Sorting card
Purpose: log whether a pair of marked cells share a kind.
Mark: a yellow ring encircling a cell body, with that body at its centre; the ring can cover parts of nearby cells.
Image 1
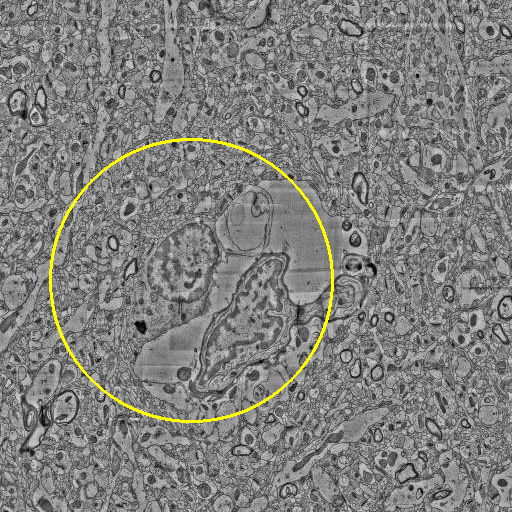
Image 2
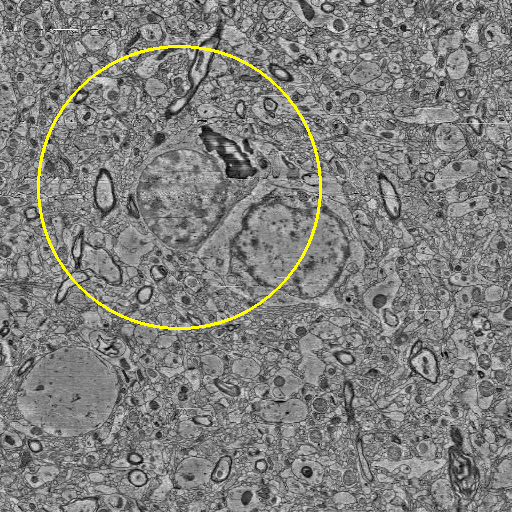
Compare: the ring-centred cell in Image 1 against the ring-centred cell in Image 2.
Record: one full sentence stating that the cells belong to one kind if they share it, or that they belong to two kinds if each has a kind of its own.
Across Images 1 and 2, the two ring-centred cells belong to one kind.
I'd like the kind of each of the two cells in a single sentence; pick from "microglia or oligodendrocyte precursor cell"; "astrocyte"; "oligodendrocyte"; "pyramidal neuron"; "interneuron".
Each one of the two ringed cells is an oligodendrocyte.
